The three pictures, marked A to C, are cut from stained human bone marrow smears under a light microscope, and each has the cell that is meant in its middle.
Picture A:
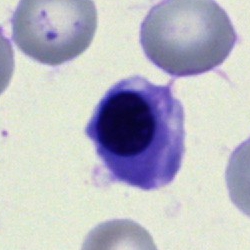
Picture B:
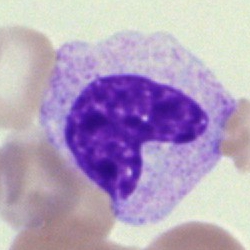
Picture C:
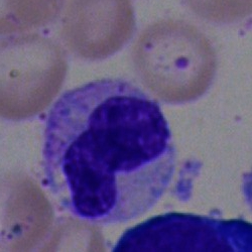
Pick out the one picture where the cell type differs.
A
